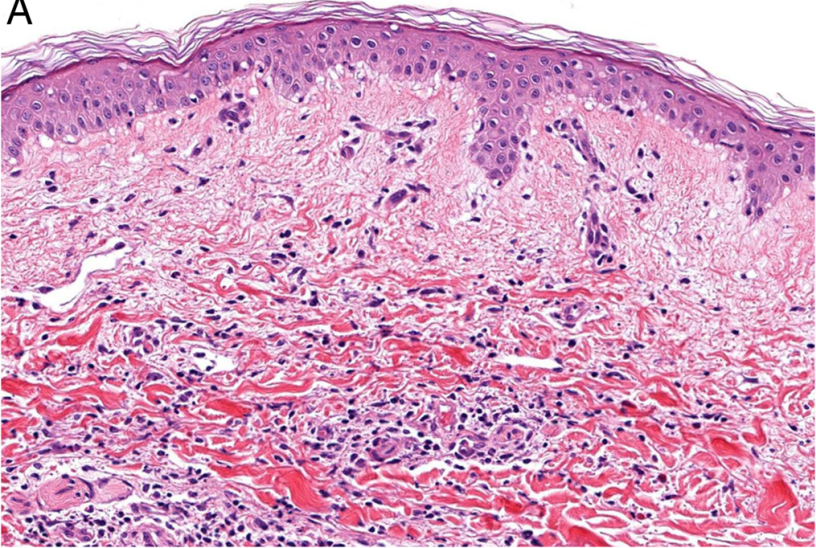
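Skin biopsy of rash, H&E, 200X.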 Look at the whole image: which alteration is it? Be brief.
Dermal edema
